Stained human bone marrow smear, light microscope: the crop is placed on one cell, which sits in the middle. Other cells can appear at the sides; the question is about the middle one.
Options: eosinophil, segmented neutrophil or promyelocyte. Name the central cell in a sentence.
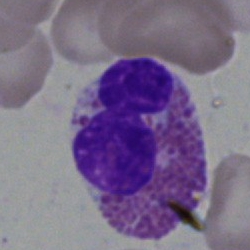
The center cell of this crop is an eosinophil.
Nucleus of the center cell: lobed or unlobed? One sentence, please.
If you check the nucleus, you will find it split into two or more lobes.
